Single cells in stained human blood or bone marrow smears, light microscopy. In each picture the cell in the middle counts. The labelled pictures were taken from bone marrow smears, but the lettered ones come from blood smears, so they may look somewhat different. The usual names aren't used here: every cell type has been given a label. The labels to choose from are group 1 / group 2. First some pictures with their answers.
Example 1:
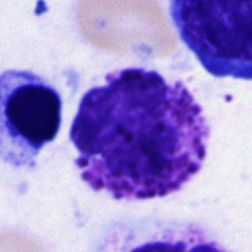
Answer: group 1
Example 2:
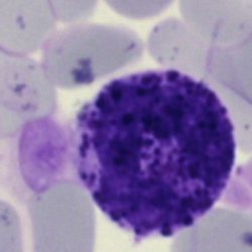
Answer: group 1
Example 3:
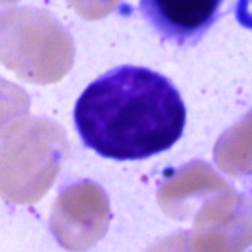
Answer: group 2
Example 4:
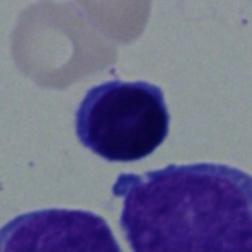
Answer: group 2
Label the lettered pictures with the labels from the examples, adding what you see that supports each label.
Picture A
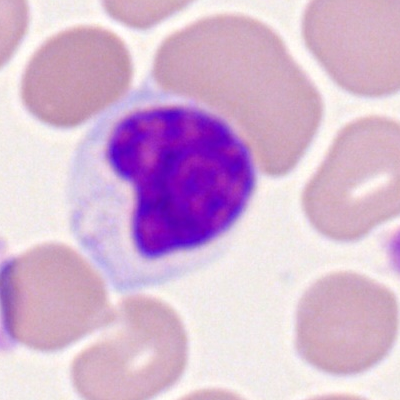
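group 2. Evidence: The nucleus is kidney-shaped, with its indentation on the left side.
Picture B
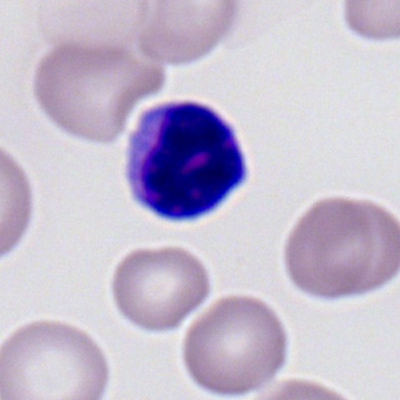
group 2. Evidence: The nucleus is a single unlobed mass.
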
